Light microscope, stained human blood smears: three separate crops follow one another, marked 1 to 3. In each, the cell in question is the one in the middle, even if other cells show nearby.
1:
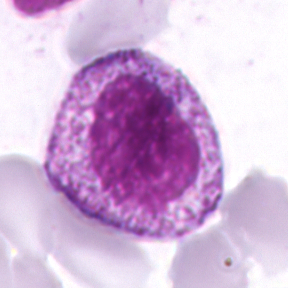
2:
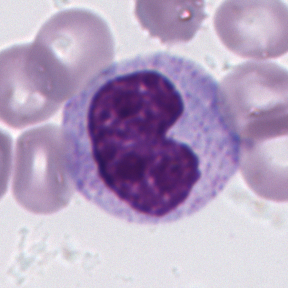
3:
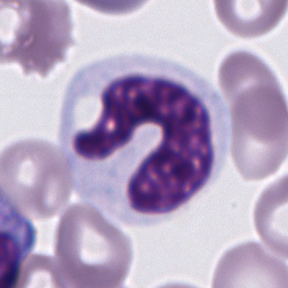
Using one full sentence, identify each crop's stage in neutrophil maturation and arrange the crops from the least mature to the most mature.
The sequence in which maturity rises is crop 1 (a myelocyte), crop 2 (a metamyelocyte) and crop 3 (a band neutrophil).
